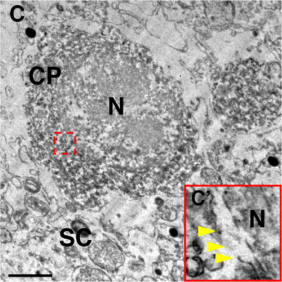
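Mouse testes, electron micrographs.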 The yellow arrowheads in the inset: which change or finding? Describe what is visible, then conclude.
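Ruptured nuclear membranes. The nuclear border in the inset is interrupted.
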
